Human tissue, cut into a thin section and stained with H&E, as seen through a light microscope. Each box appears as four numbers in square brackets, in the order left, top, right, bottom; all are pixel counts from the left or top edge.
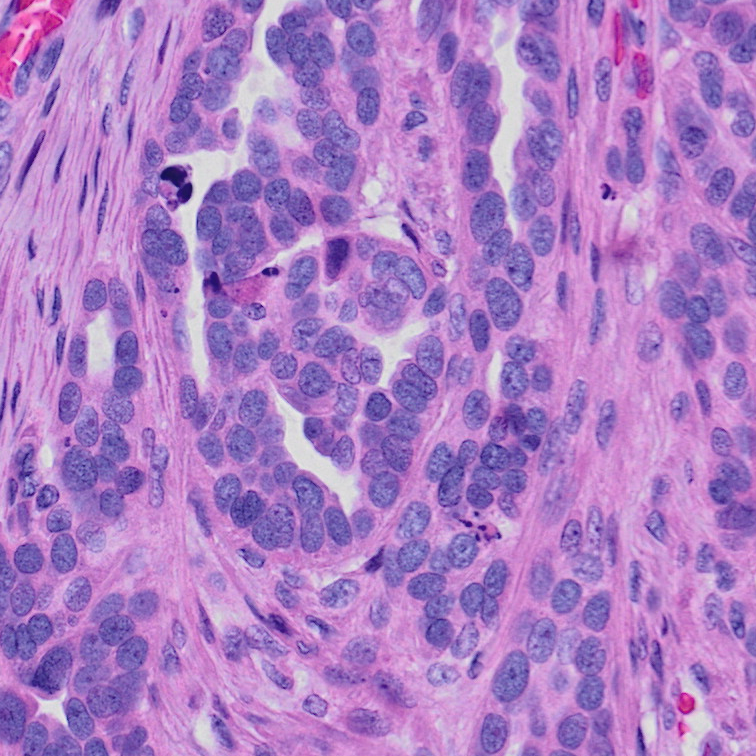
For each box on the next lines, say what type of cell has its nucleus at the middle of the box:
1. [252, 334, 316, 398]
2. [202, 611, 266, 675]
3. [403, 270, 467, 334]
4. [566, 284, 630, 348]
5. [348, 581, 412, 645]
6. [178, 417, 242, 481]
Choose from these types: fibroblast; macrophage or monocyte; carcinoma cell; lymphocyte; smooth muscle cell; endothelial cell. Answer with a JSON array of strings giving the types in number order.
["carcinoma cell", "fibroblast", "carcinoma cell", "fibroblast", "fibroblast", "carcinoma cell"]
